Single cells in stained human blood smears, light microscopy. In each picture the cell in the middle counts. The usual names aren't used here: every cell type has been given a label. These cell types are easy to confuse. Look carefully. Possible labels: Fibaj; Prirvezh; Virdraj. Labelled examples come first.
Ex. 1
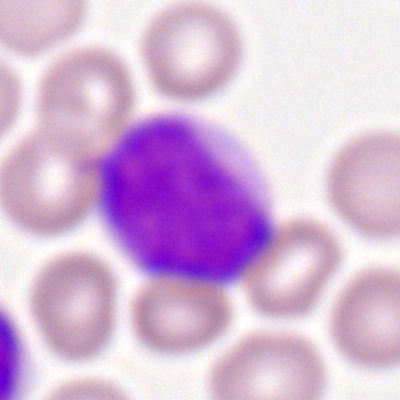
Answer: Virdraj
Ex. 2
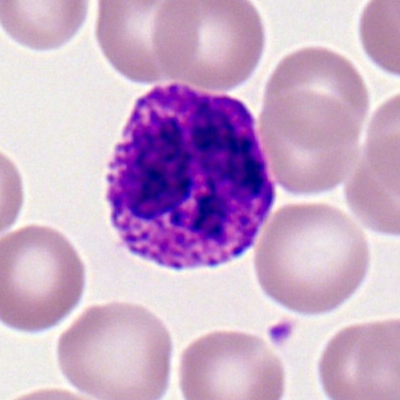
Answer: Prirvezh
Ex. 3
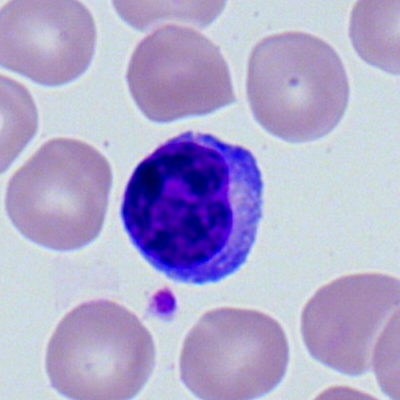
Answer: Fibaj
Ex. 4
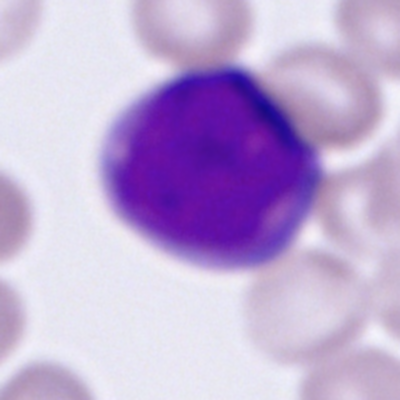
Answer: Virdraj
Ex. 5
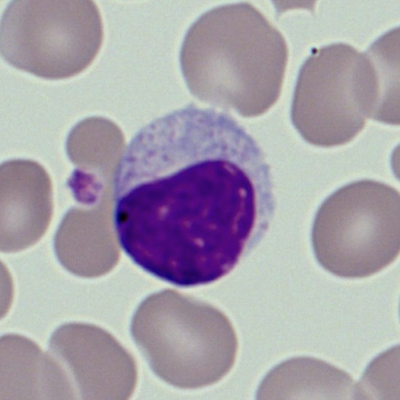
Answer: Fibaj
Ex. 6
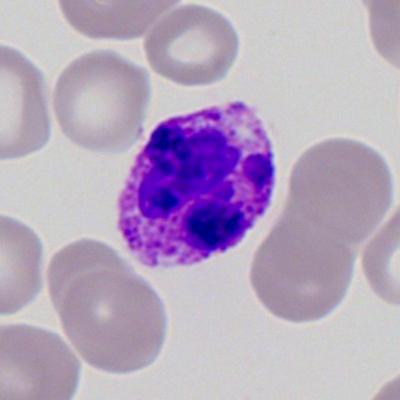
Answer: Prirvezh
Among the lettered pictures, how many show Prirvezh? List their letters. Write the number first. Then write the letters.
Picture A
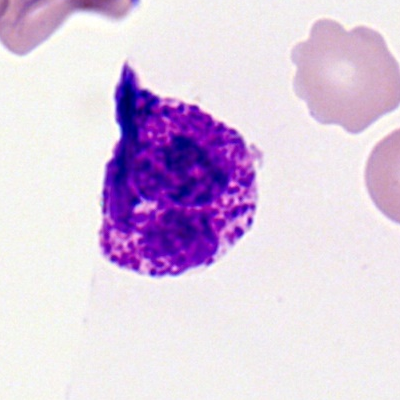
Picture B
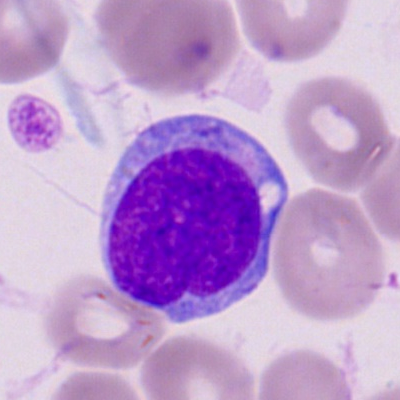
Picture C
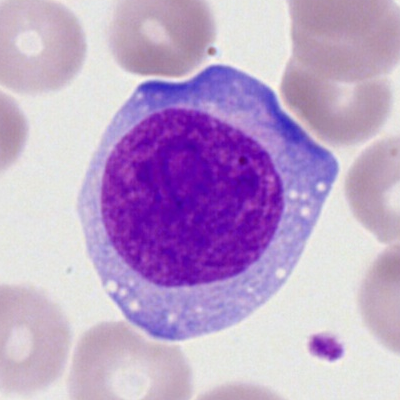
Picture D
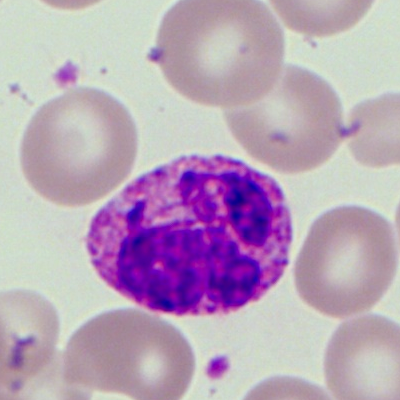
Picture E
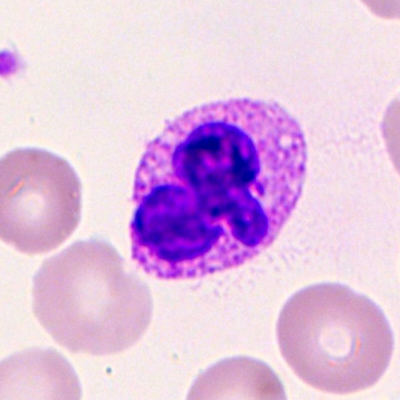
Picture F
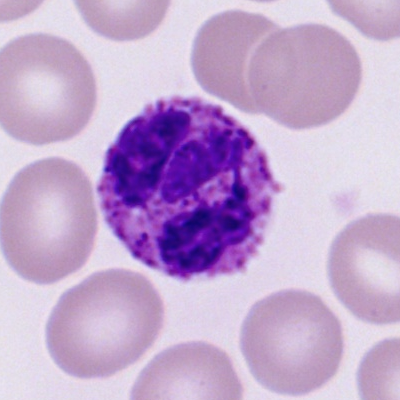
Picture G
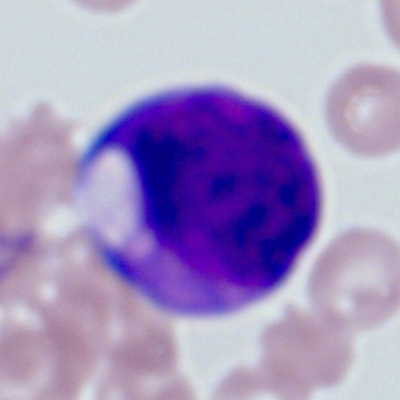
4: A, D, E, F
